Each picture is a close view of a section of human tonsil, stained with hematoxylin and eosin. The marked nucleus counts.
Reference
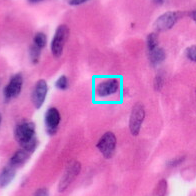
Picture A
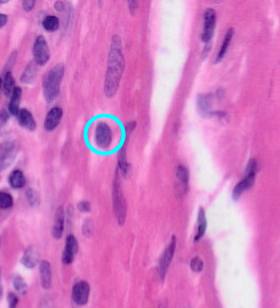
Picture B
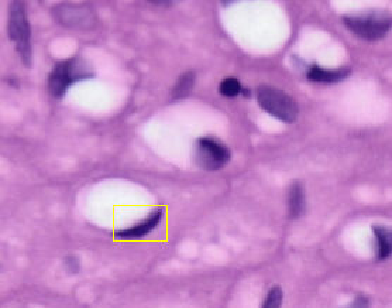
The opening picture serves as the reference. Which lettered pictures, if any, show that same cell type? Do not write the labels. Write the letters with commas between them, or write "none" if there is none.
A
